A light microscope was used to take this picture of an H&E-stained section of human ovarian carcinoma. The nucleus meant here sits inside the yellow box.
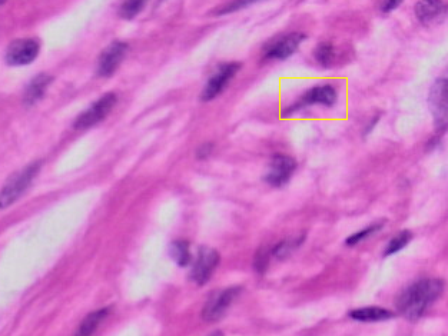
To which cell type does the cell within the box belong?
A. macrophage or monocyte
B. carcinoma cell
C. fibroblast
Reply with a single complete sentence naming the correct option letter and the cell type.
The proper choice here is C: the cell within the box is a fibroblast.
